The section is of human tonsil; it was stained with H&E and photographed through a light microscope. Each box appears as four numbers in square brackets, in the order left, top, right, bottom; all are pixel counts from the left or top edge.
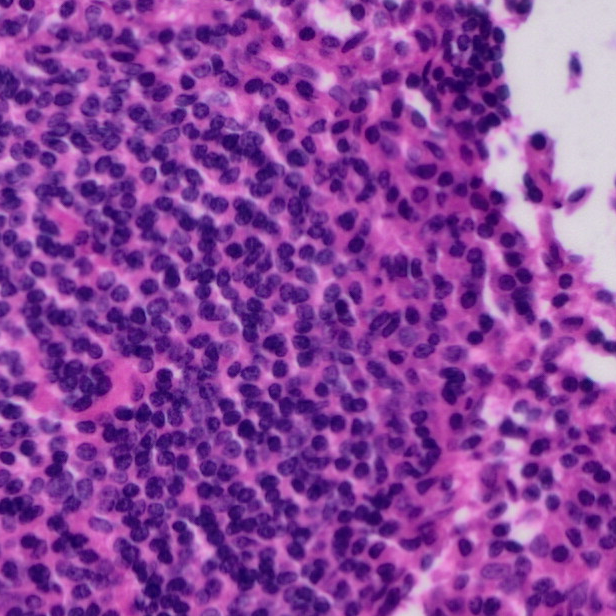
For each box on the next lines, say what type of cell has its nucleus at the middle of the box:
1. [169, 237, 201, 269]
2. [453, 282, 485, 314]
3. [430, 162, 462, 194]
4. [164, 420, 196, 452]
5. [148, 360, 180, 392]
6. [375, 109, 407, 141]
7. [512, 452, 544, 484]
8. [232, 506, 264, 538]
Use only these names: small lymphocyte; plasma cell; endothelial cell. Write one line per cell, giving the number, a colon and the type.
1: small lymphocyte
2: plasma cell
3: plasma cell
4: small lymphocyte
5: small lymphocyte
6: endothelial cell
7: plasma cell
8: small lymphocyte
